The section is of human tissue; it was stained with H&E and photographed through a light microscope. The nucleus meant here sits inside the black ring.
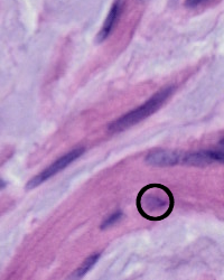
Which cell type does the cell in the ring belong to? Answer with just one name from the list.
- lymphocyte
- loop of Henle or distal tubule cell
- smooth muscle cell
smooth muscle cell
